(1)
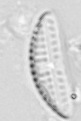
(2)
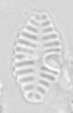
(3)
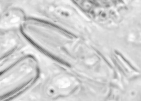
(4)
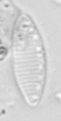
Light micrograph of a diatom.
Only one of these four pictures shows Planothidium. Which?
Picture 2.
